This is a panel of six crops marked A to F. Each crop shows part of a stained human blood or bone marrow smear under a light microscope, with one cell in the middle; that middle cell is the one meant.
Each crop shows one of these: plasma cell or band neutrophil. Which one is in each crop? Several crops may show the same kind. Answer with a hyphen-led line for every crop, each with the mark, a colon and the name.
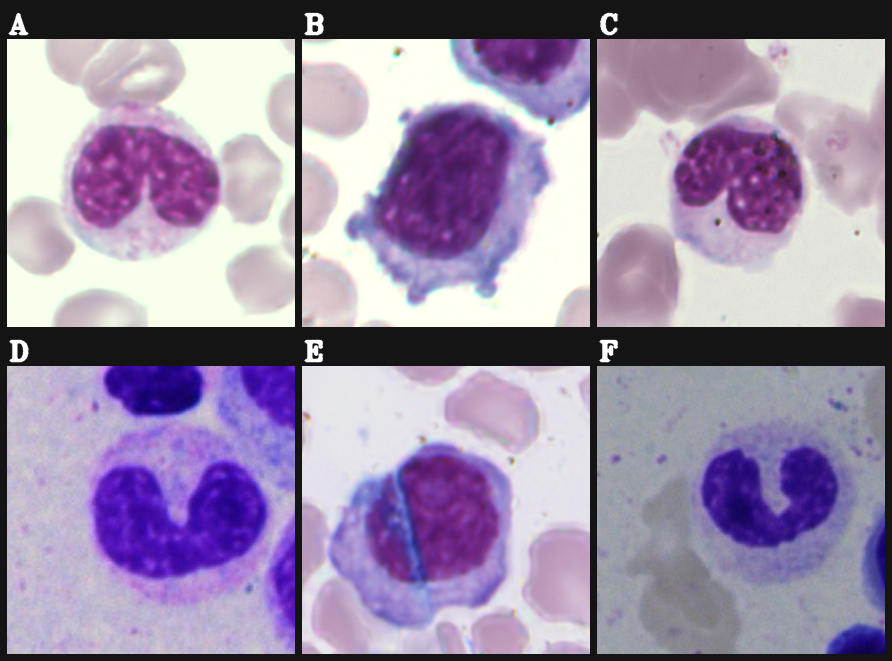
- A: band neutrophil
- B: plasma cell
- C: band neutrophil
- D: band neutrophil
- E: plasma cell
- F: band neutrophil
